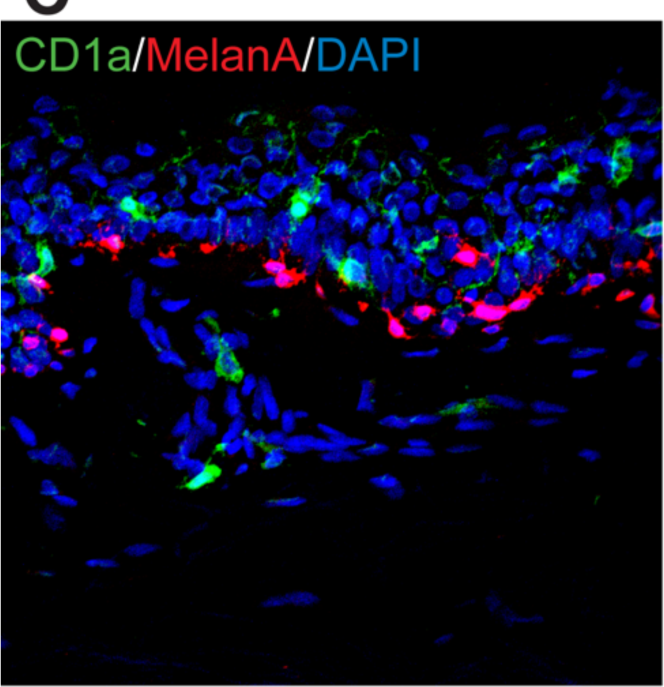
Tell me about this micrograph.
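Skin with dendritic cells and melanocytes. Green branched cells lie scattered within the epidermis and a few in the underlying dermis, while red melanocytes sit in a row along the dermal/epidermal border. The dermis holds loosely arranged, elongated nuclei.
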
